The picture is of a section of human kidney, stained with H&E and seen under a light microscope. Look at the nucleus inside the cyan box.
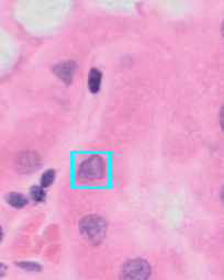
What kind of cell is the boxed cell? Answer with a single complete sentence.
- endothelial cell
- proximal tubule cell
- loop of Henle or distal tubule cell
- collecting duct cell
Students should answer that the boxed cell is a proximal tubule cell.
